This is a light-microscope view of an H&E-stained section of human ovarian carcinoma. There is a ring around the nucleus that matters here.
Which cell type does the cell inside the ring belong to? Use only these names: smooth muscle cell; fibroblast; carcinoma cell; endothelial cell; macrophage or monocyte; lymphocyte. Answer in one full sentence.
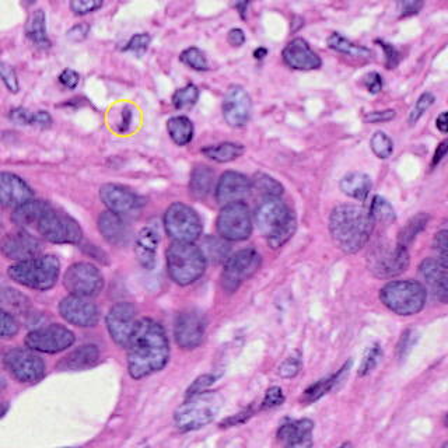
For cell typing purposes, the cell inside the ring is a fibroblast.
